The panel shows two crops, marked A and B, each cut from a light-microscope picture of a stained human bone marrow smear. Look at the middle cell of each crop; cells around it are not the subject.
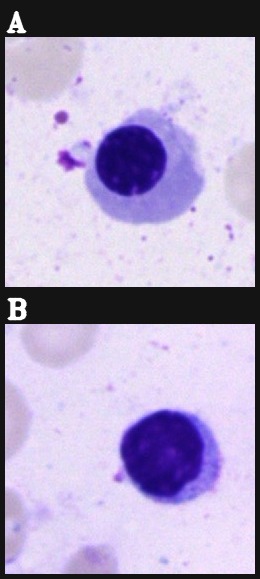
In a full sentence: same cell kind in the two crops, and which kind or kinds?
No, crop A depicts a normoblast; crop B depicts a lymphocyte.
